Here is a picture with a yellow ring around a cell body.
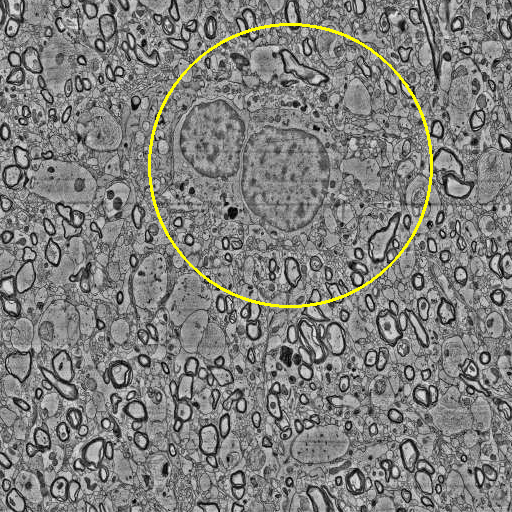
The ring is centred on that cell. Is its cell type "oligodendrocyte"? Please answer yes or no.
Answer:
yes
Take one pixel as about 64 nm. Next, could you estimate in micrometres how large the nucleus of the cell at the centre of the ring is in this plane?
The nucleus has a long axis of about 7 micrometres and a short axis of about 6 micrometres in this plane.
